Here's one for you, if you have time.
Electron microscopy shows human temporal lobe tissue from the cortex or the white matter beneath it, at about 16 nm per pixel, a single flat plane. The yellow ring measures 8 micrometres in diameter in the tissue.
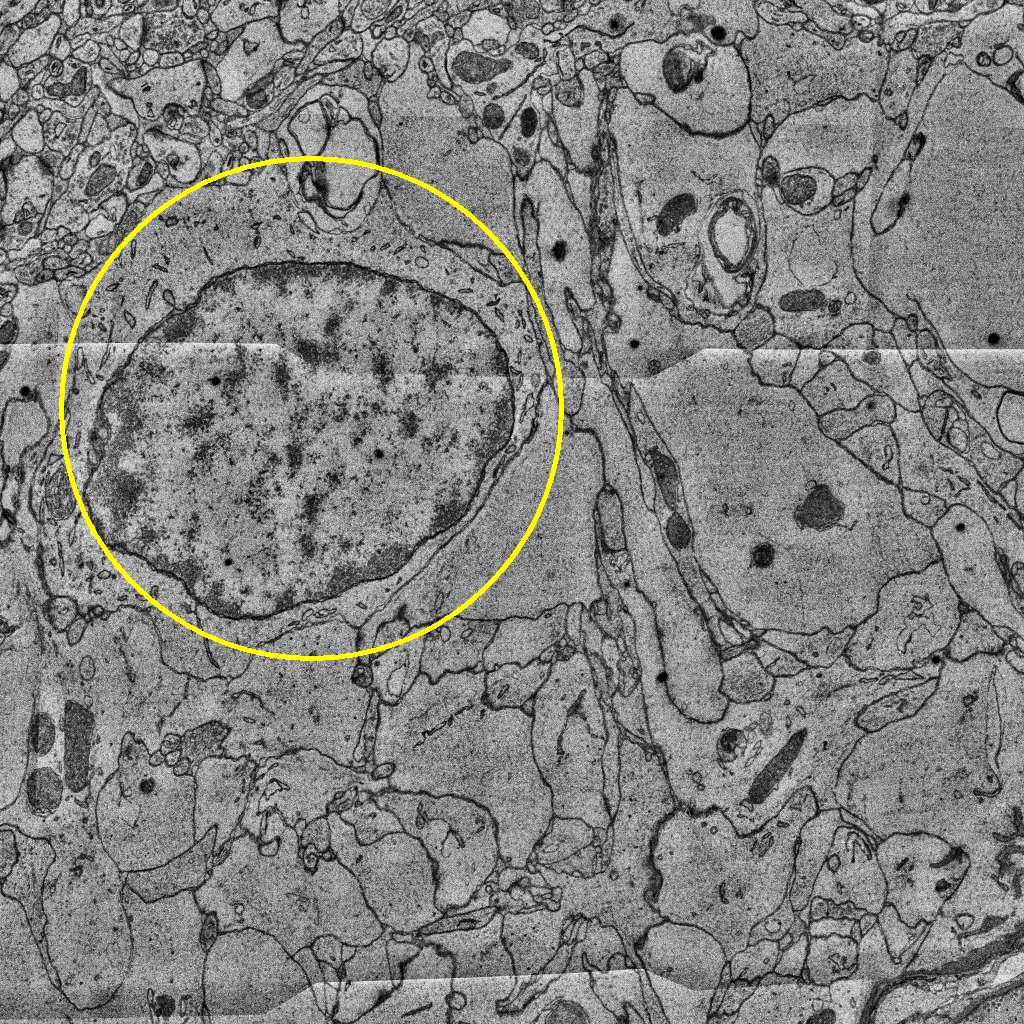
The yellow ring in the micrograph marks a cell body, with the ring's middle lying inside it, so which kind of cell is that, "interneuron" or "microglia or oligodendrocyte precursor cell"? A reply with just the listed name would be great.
microglia or oligodendrocyte precursor cell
